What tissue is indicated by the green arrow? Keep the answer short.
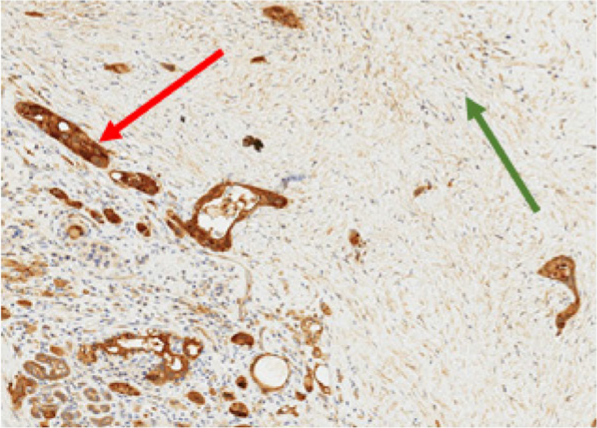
Stroma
